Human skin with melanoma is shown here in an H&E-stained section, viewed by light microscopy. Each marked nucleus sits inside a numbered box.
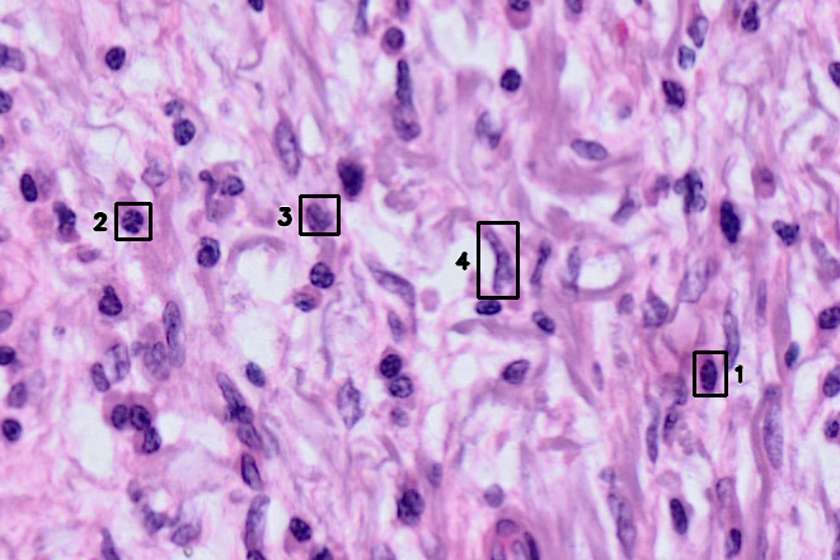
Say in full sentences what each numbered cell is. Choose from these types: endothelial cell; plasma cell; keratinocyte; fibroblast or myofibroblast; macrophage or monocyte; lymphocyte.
Cell 1 is a plasma cell, cell 2 is a plasma cell, cell 3 is a macrophage or monocyte and cell 4 is a fibroblast or myofibroblast.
